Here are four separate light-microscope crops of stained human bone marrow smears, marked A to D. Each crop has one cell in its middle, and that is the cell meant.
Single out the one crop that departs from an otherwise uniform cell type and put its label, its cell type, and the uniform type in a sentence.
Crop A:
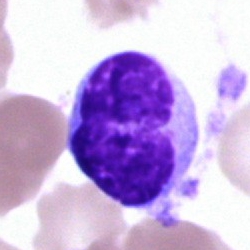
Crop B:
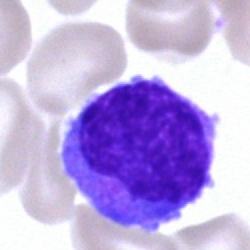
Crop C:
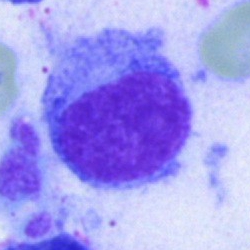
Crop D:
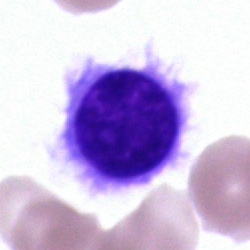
The exception in this group is crop B, a monocyte, and the others are all hairy cells.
